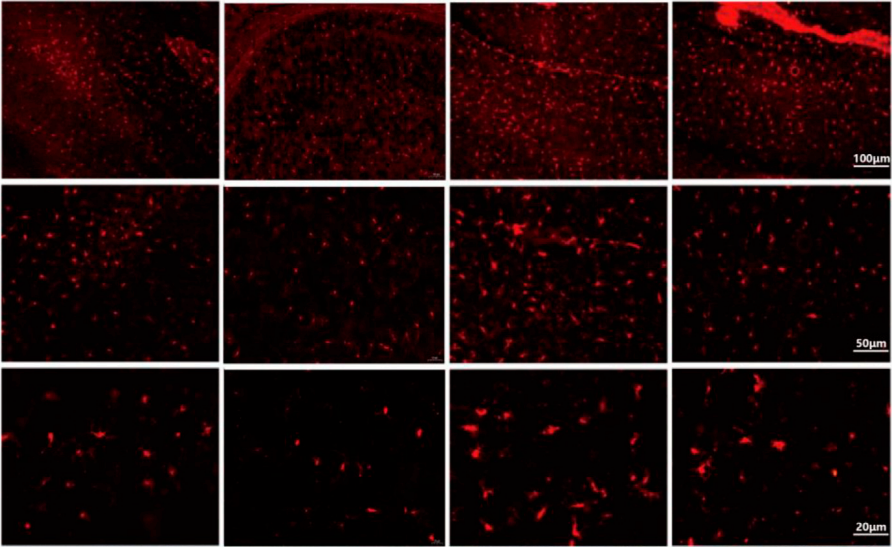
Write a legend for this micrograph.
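At higher magnifications single cells show small bodies with a few short, thin red extensions. In one column the red cells look larger and brighter, with thicker, more irregular bodies, than in the others.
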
